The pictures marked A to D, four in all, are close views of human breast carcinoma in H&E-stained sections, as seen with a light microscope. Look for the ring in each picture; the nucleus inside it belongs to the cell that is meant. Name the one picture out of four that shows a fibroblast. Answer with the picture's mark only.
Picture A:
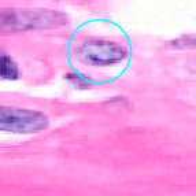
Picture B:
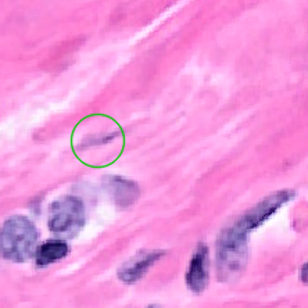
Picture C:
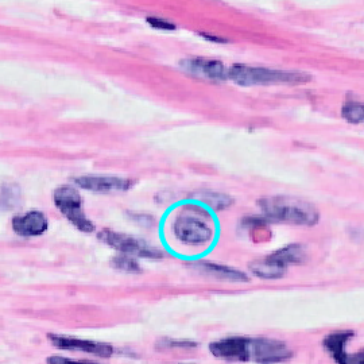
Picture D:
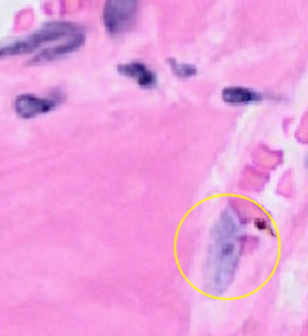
B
